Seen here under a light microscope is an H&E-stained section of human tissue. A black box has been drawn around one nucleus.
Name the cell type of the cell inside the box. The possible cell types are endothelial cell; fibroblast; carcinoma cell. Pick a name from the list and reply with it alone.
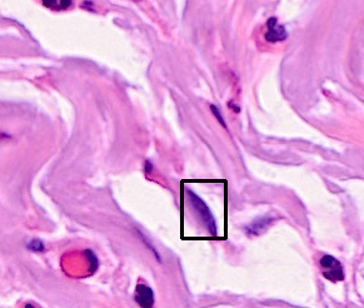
fibroblast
